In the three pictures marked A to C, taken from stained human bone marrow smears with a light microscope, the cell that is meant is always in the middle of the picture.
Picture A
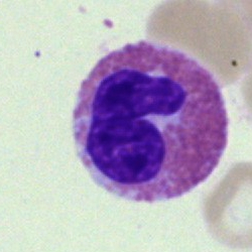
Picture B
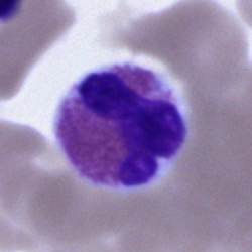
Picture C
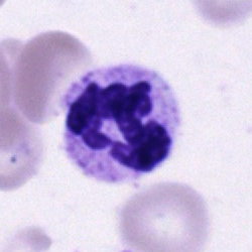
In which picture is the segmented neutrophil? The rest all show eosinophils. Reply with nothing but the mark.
C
